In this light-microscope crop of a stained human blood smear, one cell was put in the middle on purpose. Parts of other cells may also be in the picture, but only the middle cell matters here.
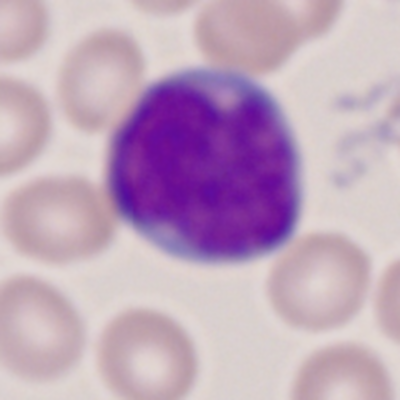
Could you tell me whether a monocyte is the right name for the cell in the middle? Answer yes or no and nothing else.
no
